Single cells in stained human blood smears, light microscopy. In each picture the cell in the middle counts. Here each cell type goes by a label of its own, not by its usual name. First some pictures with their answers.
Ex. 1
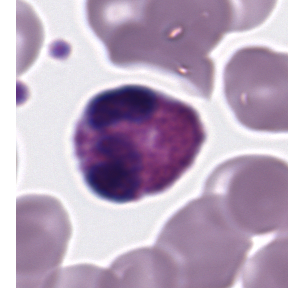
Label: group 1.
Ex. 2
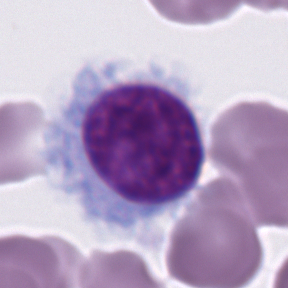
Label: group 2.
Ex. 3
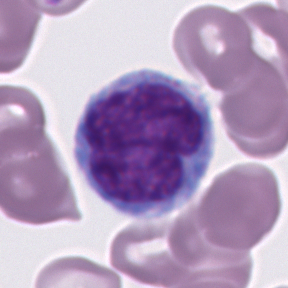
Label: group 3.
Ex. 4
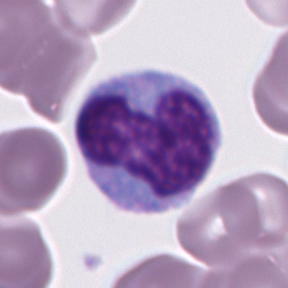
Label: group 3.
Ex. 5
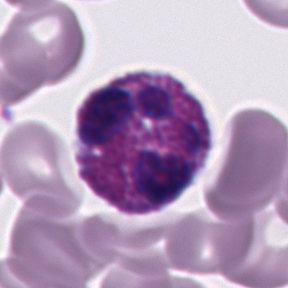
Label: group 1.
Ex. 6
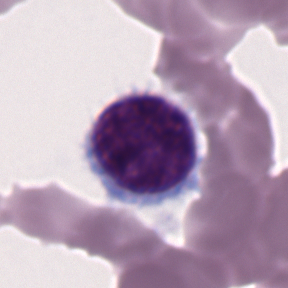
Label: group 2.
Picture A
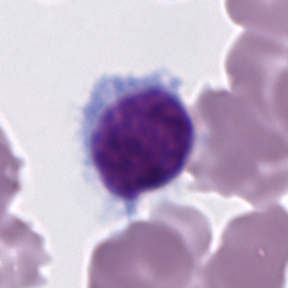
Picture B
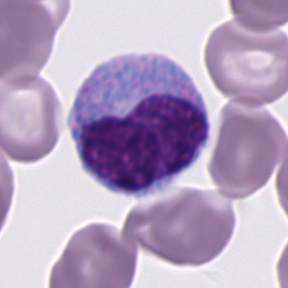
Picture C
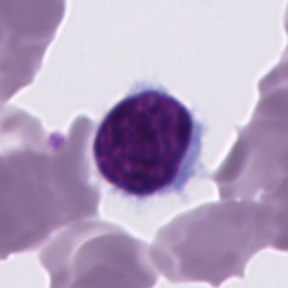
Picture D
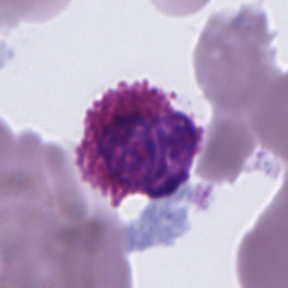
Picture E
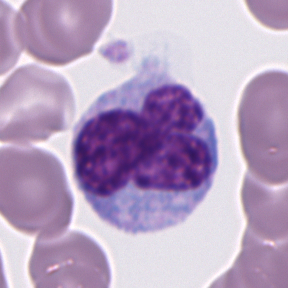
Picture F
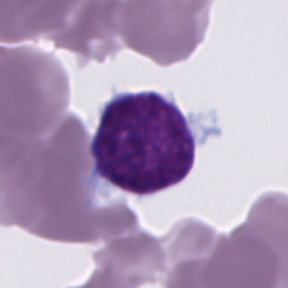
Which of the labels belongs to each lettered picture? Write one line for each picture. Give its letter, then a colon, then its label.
A: group 2.
B: group 3.
C: group 2.
D: group 1.
E: group 3.
F: group 2.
